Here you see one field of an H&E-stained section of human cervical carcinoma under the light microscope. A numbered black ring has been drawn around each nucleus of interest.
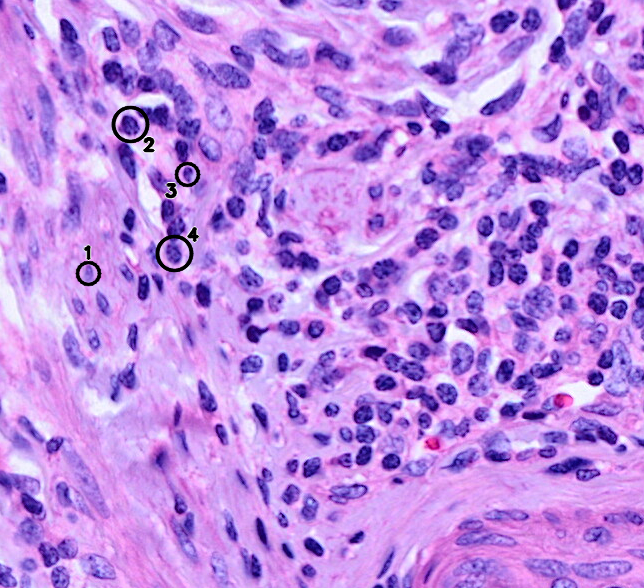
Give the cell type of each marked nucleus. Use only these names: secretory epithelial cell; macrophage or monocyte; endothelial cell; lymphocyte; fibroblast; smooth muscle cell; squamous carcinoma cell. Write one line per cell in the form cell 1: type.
cell 1: smooth muscle cell
cell 2: lymphocyte
cell 3: lymphocyte
cell 4: lymphocyte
